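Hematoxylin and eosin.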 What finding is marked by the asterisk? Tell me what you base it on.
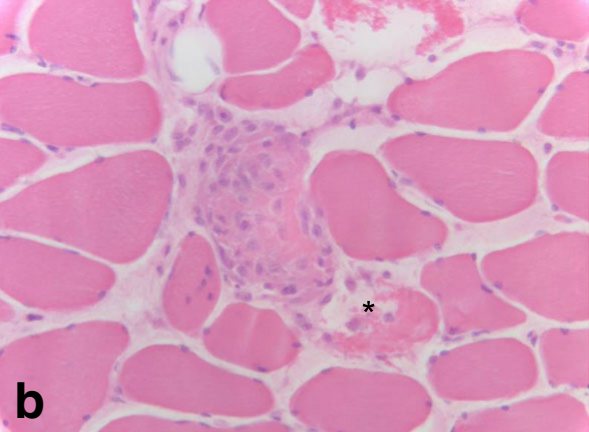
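The marked fiber is pale and granular unlike the evenly pink fibers around it. A few small cells lie within the marked fiber. The answer: fresh single fiber necrosis.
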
